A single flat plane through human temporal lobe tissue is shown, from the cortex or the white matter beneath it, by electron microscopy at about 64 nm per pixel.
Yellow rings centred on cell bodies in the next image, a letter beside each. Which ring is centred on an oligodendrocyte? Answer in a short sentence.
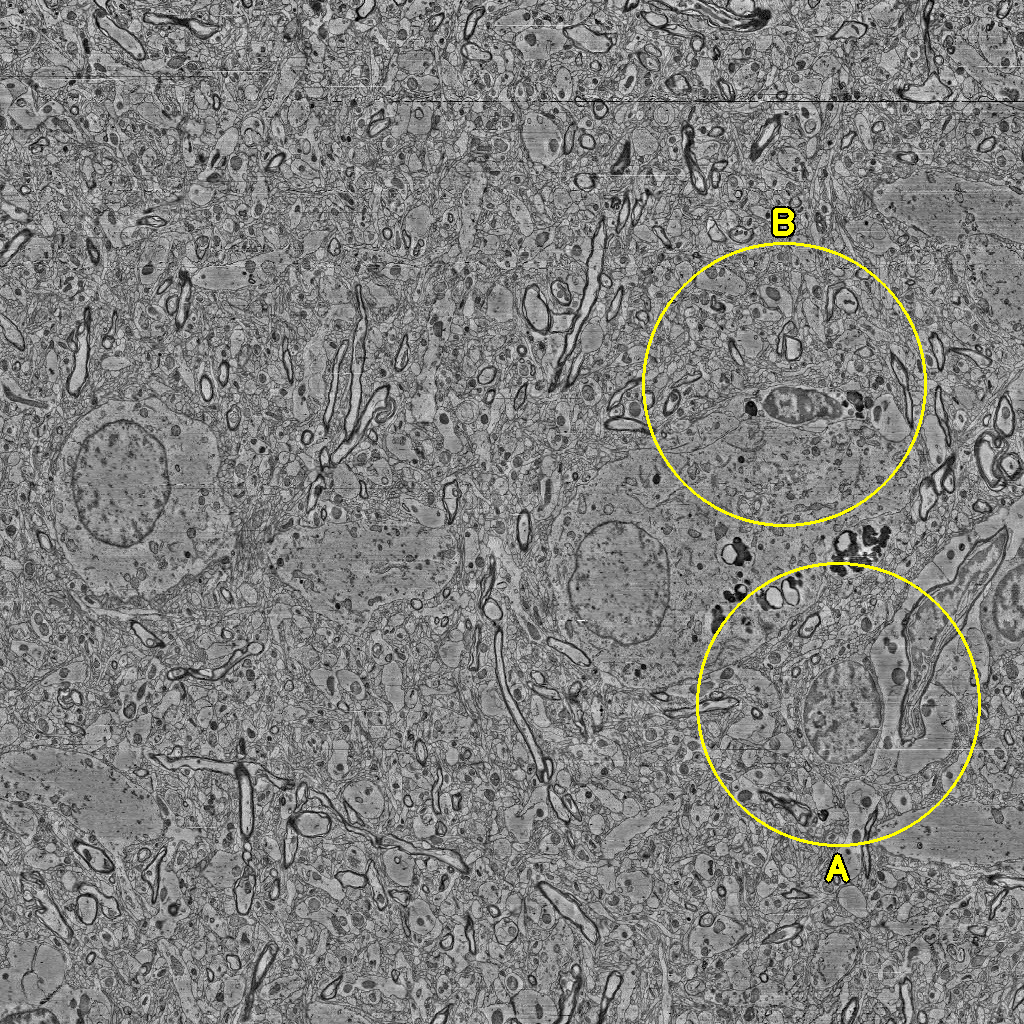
Ring A is centred on it.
